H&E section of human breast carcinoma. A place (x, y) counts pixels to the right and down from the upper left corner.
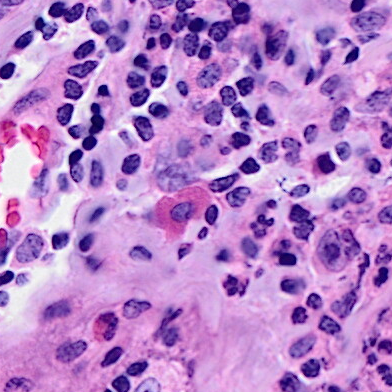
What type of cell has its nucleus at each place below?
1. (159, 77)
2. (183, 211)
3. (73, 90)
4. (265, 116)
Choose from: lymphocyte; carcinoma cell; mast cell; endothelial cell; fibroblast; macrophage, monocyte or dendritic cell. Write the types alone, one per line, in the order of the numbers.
lymphocyte
mast cell
lymphocyte
lymphocyte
